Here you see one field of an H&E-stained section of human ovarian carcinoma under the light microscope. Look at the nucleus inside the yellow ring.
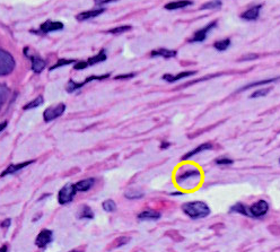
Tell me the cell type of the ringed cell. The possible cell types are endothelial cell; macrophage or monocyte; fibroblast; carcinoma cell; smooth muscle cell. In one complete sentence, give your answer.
In the context of this tissue, the ringed cell is a fibroblast.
